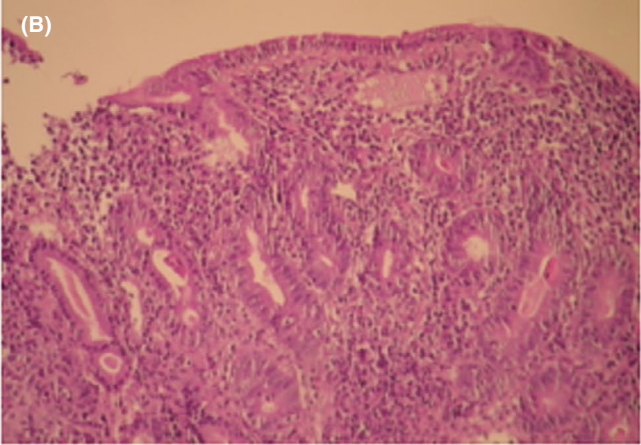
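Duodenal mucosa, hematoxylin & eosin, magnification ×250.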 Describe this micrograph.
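The lamina propria between the crypts is packed with small cells that have round, dark purple nuclei and scant cytoplasm, the appearance of lymphocytes. This dense cellular infiltrate crowds the stroma and pushes between the glands.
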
